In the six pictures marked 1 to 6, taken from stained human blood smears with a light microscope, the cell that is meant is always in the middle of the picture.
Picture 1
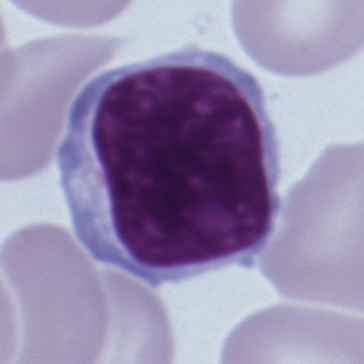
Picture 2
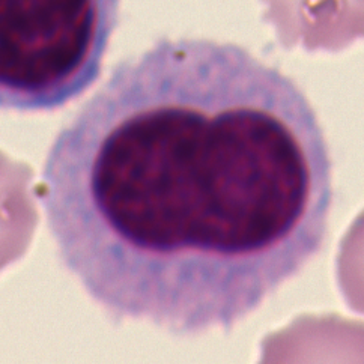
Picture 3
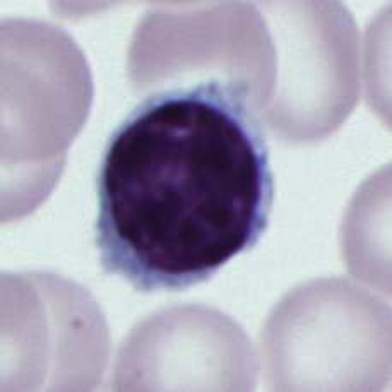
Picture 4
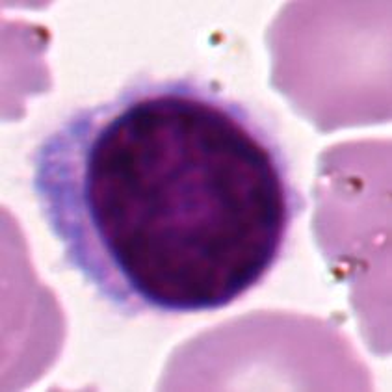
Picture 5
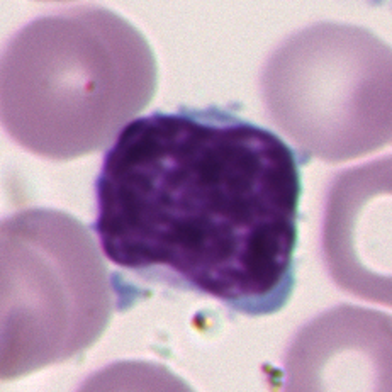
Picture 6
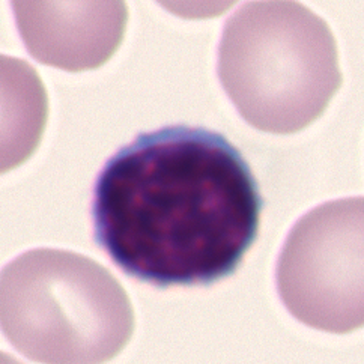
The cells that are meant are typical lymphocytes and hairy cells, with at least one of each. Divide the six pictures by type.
1: typical lymphocyte
2: hairy cell
3: typical lymphocyte
4: hairy cell
5: typical lymphocyte
6: typical lymphocyte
